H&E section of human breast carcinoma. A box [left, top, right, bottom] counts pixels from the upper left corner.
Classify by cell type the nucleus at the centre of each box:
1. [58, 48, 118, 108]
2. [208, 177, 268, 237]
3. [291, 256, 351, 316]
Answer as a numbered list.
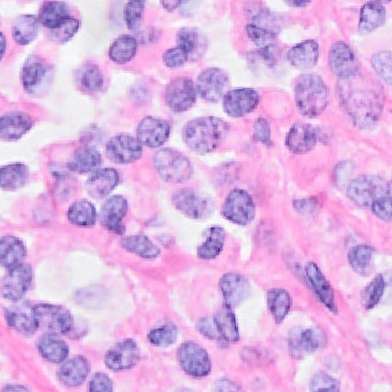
1. carcinoma cell
2. carcinoma cell
3. endothelial cell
